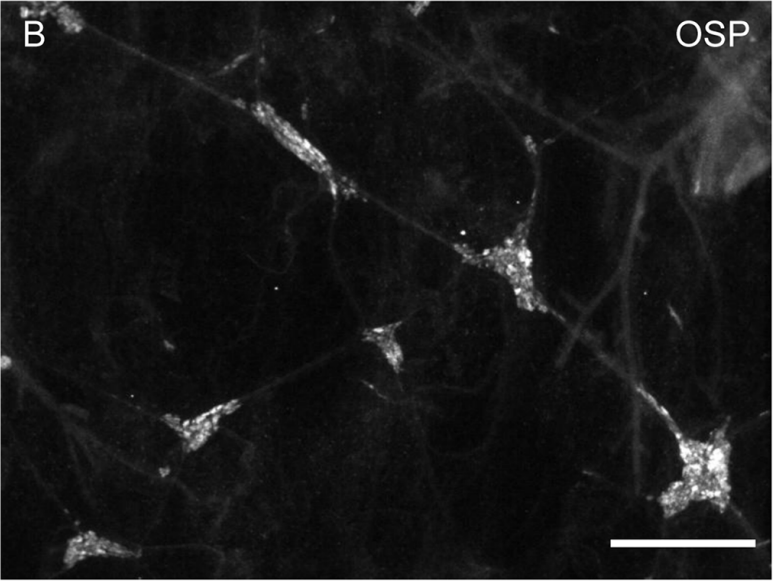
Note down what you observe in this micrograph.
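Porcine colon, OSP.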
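The clusters lie far apart, mostly where long, thin, faint fibre strands meet or cross, so the network has wide open meshes. The ganglia are small and roughly triangular or spindle-shaped, drawn out along the strands that leave them. Large dark areas between the strands contain no clusters at all, giving a much sparser pattern than a densely ganglionated plexus.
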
